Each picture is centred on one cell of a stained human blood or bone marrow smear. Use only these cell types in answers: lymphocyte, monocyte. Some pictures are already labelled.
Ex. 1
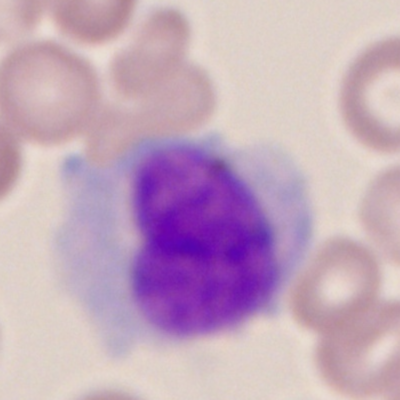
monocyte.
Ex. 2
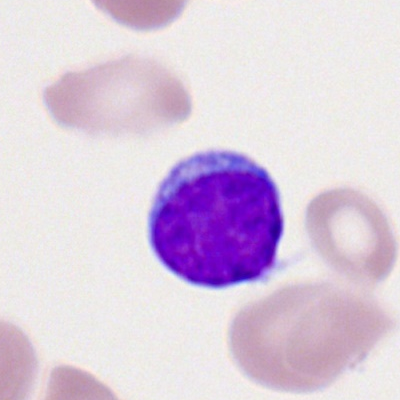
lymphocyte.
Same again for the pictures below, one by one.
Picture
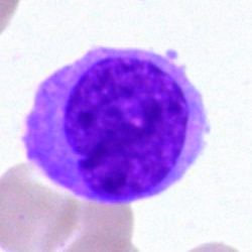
monocyte.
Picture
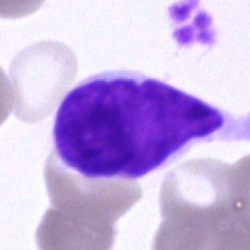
lymphocyte.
